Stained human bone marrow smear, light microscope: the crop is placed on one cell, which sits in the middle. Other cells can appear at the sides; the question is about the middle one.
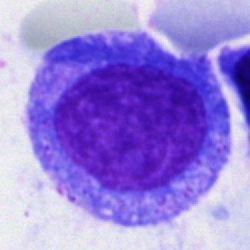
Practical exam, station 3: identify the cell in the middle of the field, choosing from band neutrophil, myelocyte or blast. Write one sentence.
The cell that lies at the centre of the crop is a blast.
